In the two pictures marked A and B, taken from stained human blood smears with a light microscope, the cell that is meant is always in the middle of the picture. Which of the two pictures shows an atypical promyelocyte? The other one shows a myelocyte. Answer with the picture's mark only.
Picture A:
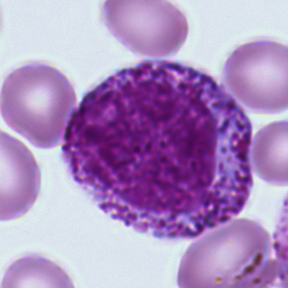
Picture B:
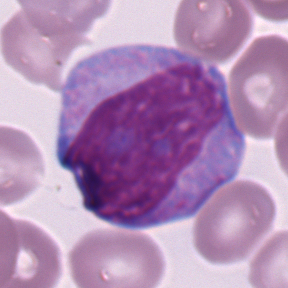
B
